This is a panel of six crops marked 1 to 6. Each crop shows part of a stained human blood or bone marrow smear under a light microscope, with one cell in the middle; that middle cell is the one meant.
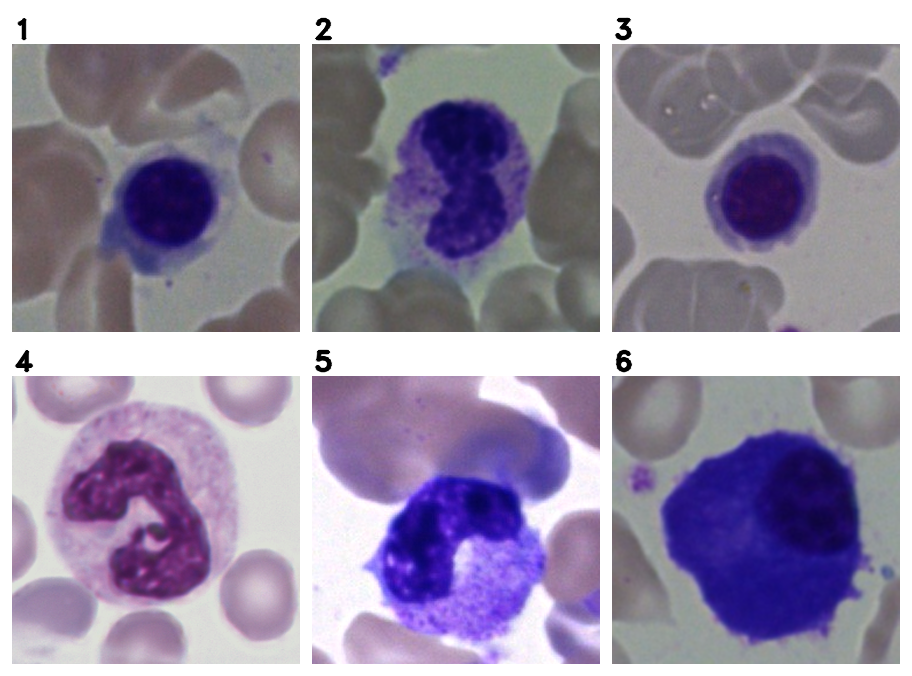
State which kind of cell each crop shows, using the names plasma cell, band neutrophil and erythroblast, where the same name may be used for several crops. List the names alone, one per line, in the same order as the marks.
erythroblast
band neutrophil
erythroblast
band neutrophil
band neutrophil
plasma cell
